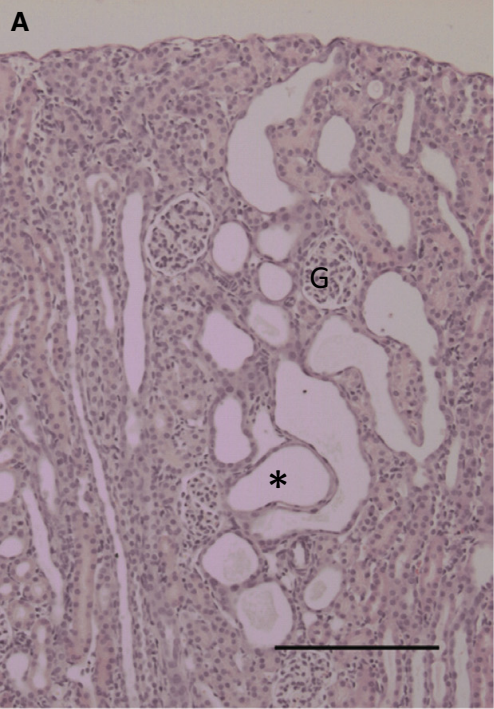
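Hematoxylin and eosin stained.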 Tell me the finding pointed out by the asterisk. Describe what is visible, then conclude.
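The asterisk sits in a large rounded empty lumen. The lumen is lined by a thin, flattened epithelium. Many neighbouring tubules are also widened.
Conclusion: microcysts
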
